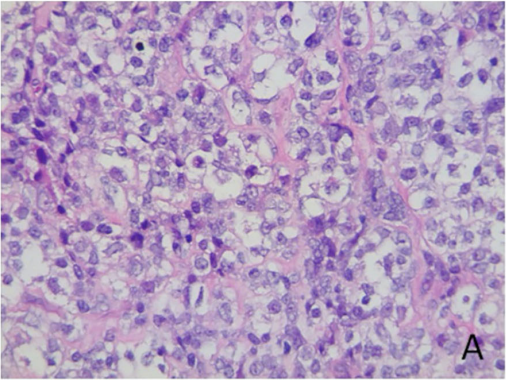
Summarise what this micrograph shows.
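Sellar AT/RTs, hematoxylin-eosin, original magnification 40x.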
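Tumour made of a diffuse sheet of small to medium-sized cells, separated only by thin pink fibrous strands. The cytoplasm varies from cell to cell, pale, clear or full of vacuoles, giving a mixed, jumbled look to the sheet.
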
